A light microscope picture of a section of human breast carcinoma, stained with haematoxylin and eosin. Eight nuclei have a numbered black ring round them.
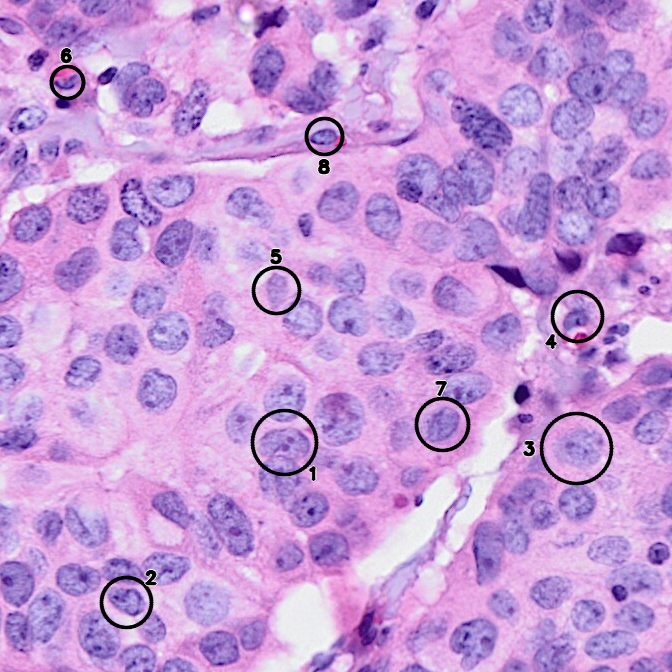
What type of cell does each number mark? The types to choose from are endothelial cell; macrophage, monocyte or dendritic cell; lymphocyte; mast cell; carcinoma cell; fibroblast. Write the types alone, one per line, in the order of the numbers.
carcinoma cell
carcinoma cell
carcinoma cell
endothelial cell
carcinoma cell
endothelial cell
carcinoma cell
endothelial cell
